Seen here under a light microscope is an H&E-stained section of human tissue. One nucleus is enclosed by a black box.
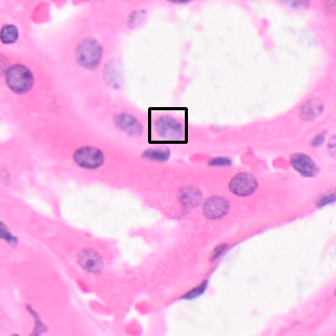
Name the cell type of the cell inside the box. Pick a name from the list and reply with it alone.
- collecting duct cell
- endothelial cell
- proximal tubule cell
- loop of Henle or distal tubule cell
loop of Henle or distal tubule cell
